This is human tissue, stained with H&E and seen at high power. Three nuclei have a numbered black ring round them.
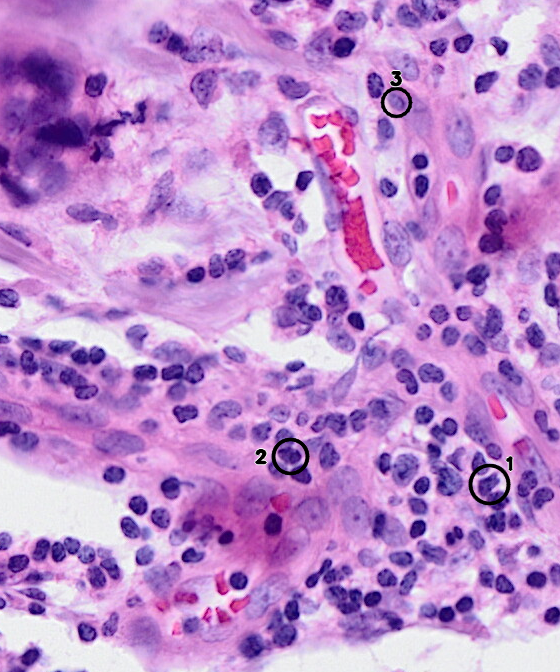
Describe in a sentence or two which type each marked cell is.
Cells 1 and 2 are lymphocytes. Cell 3 is an endothelial cell.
